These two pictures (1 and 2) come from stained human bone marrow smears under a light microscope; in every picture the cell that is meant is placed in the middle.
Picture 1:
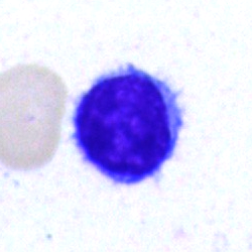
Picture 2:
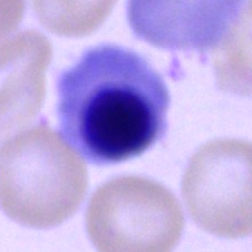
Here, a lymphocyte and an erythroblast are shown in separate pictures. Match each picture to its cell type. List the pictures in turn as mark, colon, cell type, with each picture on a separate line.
1: lymphocyte
2: erythroblast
